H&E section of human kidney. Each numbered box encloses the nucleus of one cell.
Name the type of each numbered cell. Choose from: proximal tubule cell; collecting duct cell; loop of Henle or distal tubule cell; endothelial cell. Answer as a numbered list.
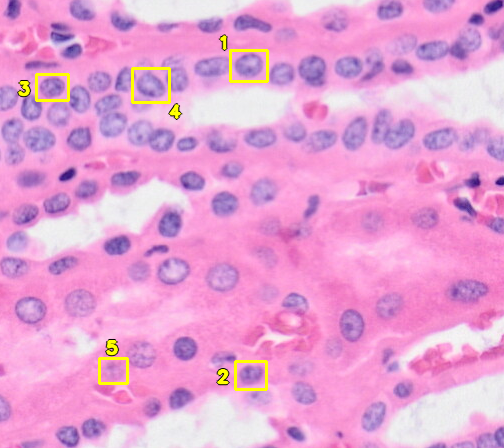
1. collecting duct cell
2. loop of Henle or distal tubule cell
3. collecting duct cell
4. collecting duct cell
5. proximal tubule cell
